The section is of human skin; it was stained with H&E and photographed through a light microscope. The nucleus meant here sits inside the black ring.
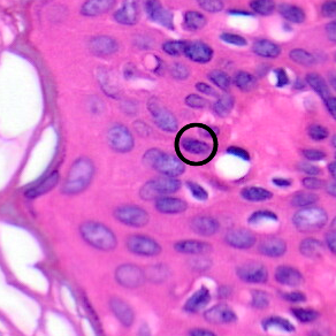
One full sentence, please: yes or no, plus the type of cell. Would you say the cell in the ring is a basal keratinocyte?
Yes, the cell in the ring is, by its type, a basal keratinocyte.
